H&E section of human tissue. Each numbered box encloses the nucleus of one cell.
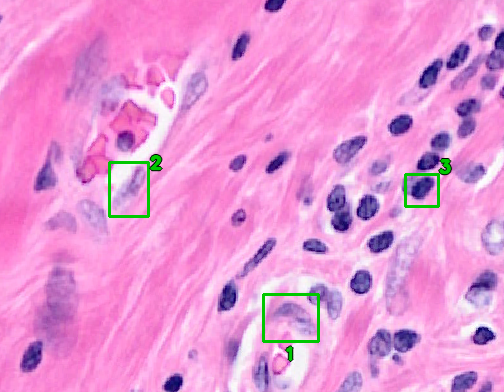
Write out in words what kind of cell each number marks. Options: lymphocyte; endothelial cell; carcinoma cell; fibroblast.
Cell 1 is an endothelial cell, cell 2 is an endothelial cell and cell 3 is a lymphocyte.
